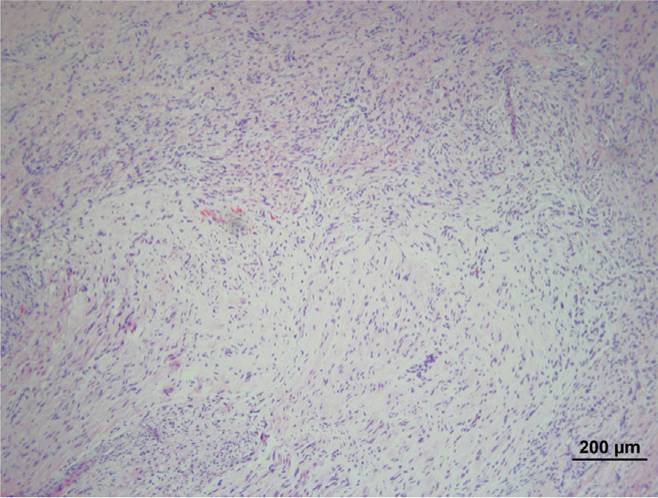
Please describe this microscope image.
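Elongated, dark-staining nuclei are scattered through a pale pink to lilac loose stroma and run in disordered streams and whorls in many directions. Denser cellular bands alternate with paler, looser areas. A few small vessels with red blood cells are scattered through the field. No distinct fascicular nerve structure or organised layers are seen; the picture is of haphazard cellular proliferation.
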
